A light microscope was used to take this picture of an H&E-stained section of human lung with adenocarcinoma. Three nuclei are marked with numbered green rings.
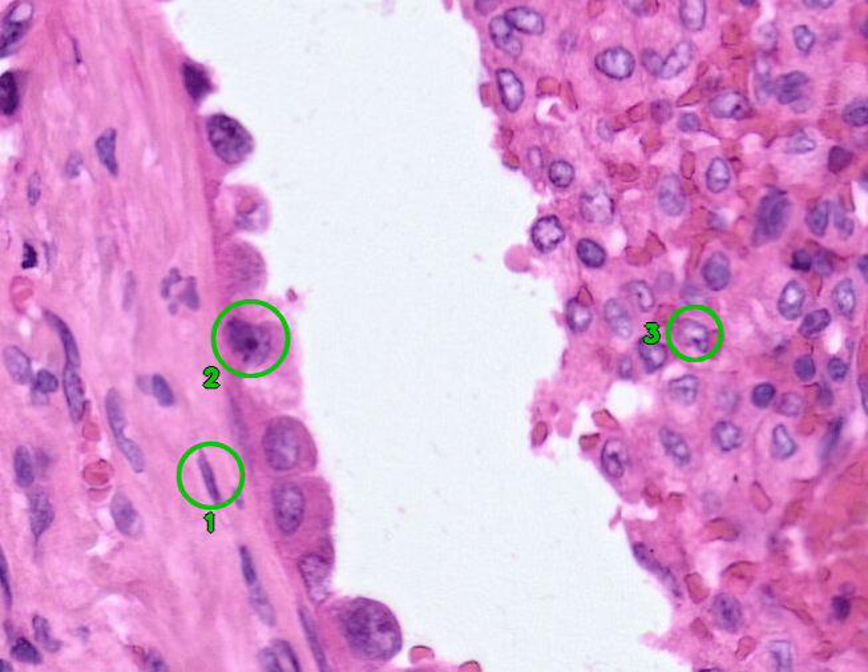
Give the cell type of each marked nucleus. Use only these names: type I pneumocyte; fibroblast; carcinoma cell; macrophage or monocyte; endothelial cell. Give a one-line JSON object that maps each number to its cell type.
{"1": "fibroblast", "2": "carcinoma cell", "3": "macrophage or monocyte"}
